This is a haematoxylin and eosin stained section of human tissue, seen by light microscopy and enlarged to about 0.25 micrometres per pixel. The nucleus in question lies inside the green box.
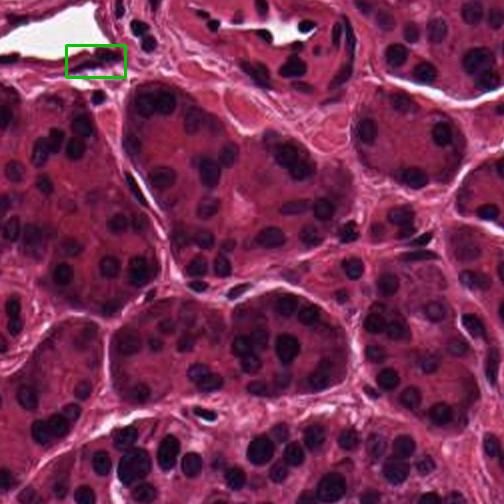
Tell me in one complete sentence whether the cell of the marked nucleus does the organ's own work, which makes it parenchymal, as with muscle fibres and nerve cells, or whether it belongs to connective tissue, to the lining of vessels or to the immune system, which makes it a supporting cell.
The marked nucleus is assigned to a supporting cell.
